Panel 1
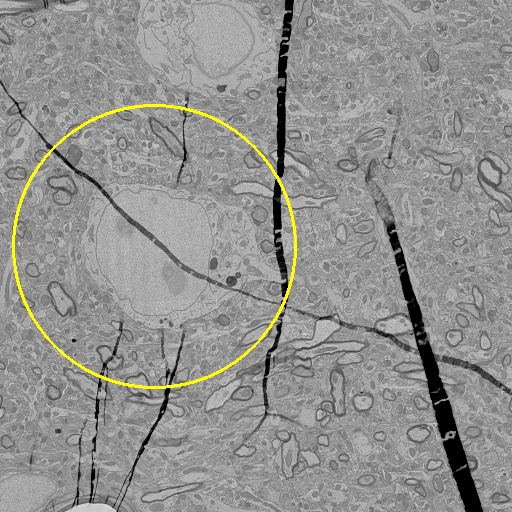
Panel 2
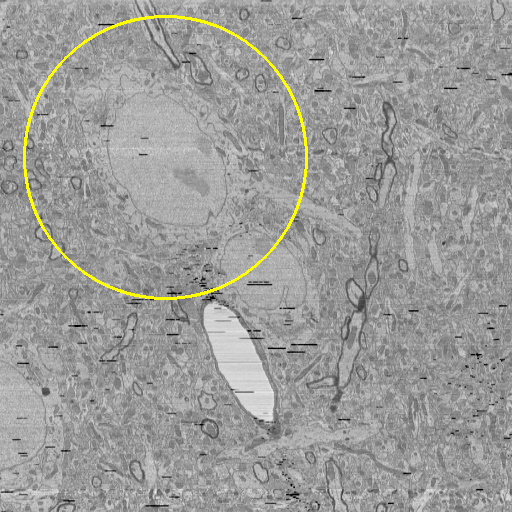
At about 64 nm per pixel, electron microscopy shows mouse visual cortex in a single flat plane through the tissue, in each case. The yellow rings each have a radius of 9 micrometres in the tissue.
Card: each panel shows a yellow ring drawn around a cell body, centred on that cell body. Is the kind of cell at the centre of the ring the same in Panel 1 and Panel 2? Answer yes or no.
yes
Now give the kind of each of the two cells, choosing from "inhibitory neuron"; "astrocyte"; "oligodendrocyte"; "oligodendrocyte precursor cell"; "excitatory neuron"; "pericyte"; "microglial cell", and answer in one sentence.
Both rings mark an excitatory neuron, one in each picture.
